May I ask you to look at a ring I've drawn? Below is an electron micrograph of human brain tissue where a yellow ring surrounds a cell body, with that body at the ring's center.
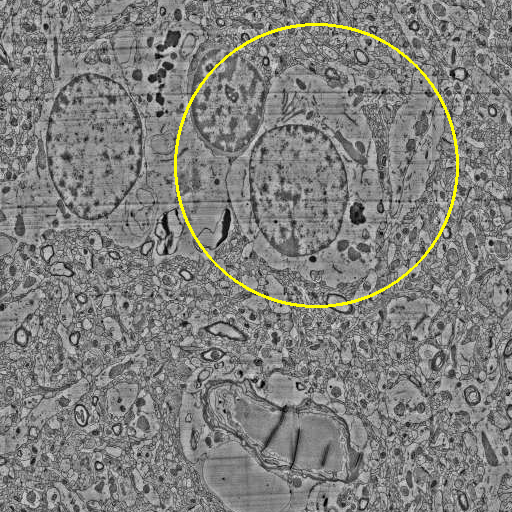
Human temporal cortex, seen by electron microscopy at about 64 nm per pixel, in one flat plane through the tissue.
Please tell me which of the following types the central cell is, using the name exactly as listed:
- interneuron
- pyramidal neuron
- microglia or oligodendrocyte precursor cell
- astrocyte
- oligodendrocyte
astrocyte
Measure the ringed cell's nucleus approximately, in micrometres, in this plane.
In this plane, about 8 micrometres in length and 6 in width.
